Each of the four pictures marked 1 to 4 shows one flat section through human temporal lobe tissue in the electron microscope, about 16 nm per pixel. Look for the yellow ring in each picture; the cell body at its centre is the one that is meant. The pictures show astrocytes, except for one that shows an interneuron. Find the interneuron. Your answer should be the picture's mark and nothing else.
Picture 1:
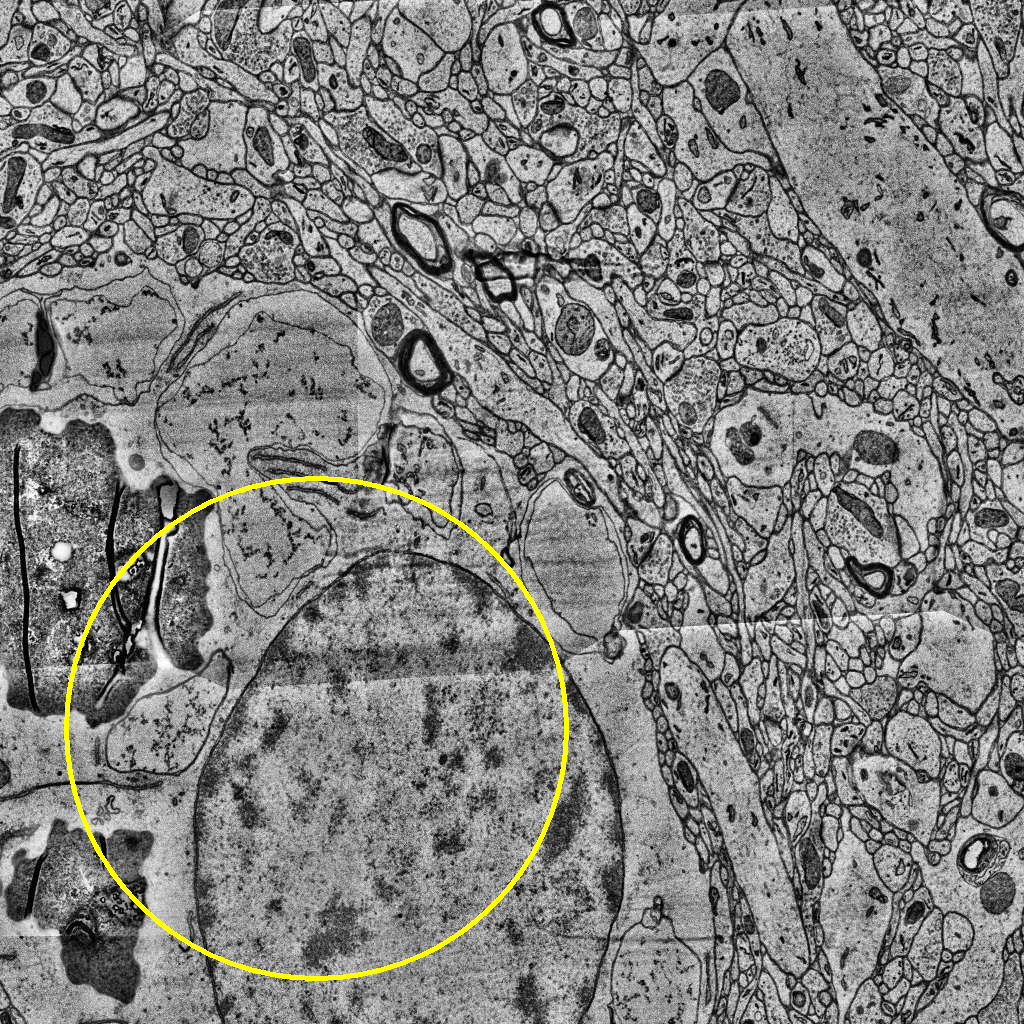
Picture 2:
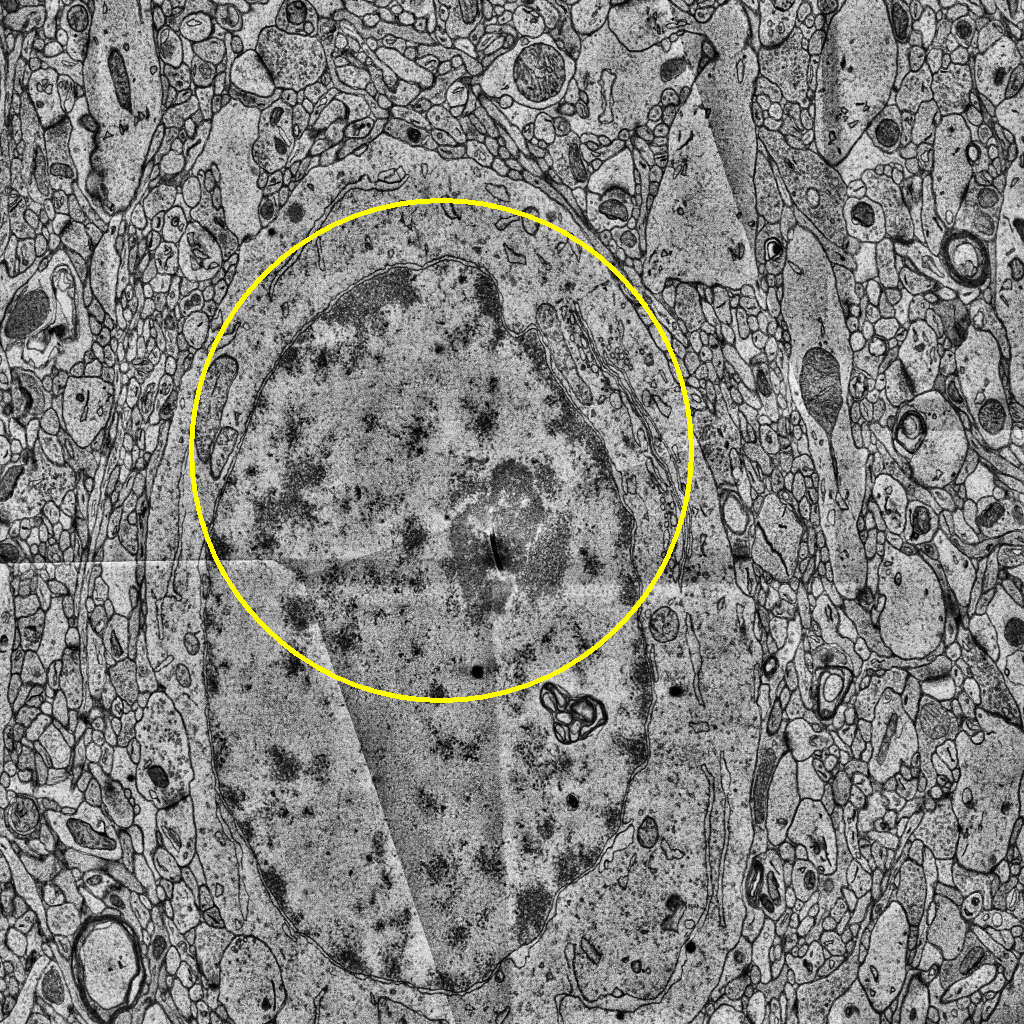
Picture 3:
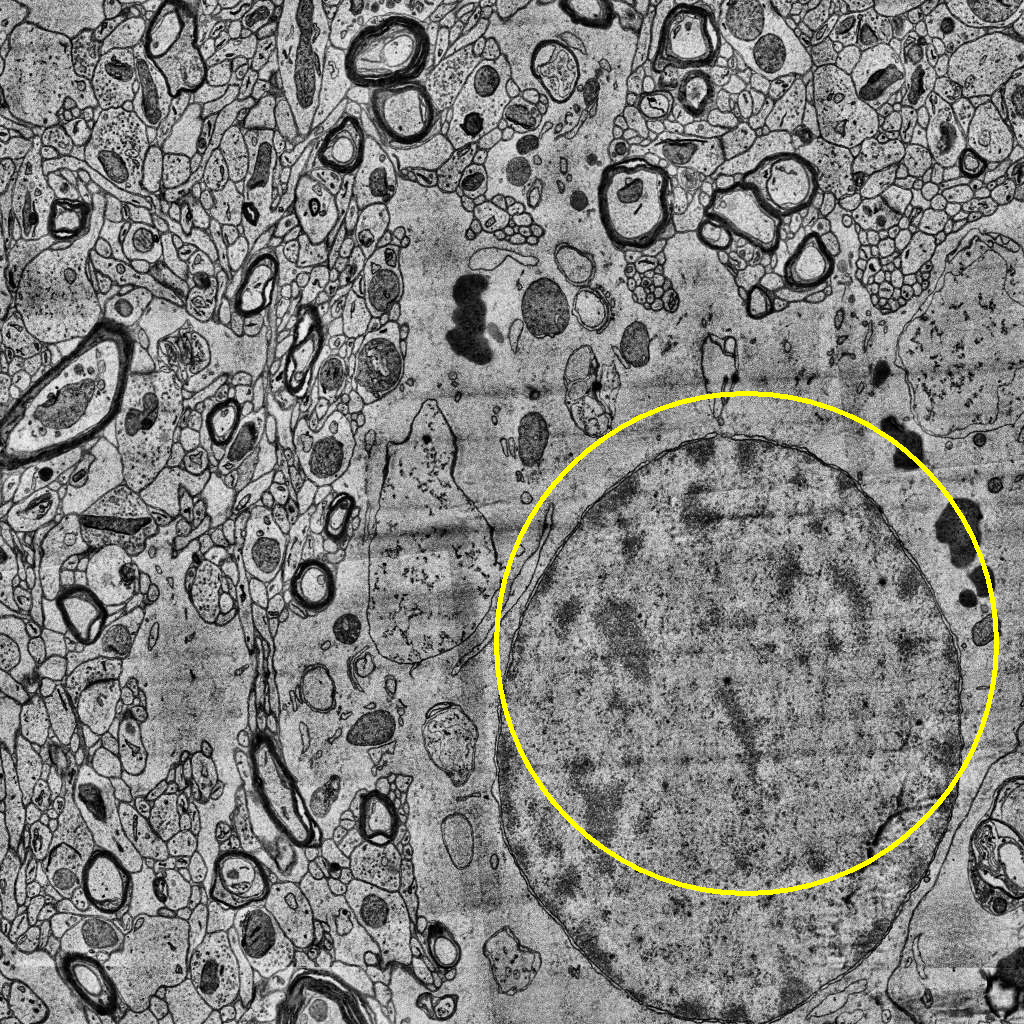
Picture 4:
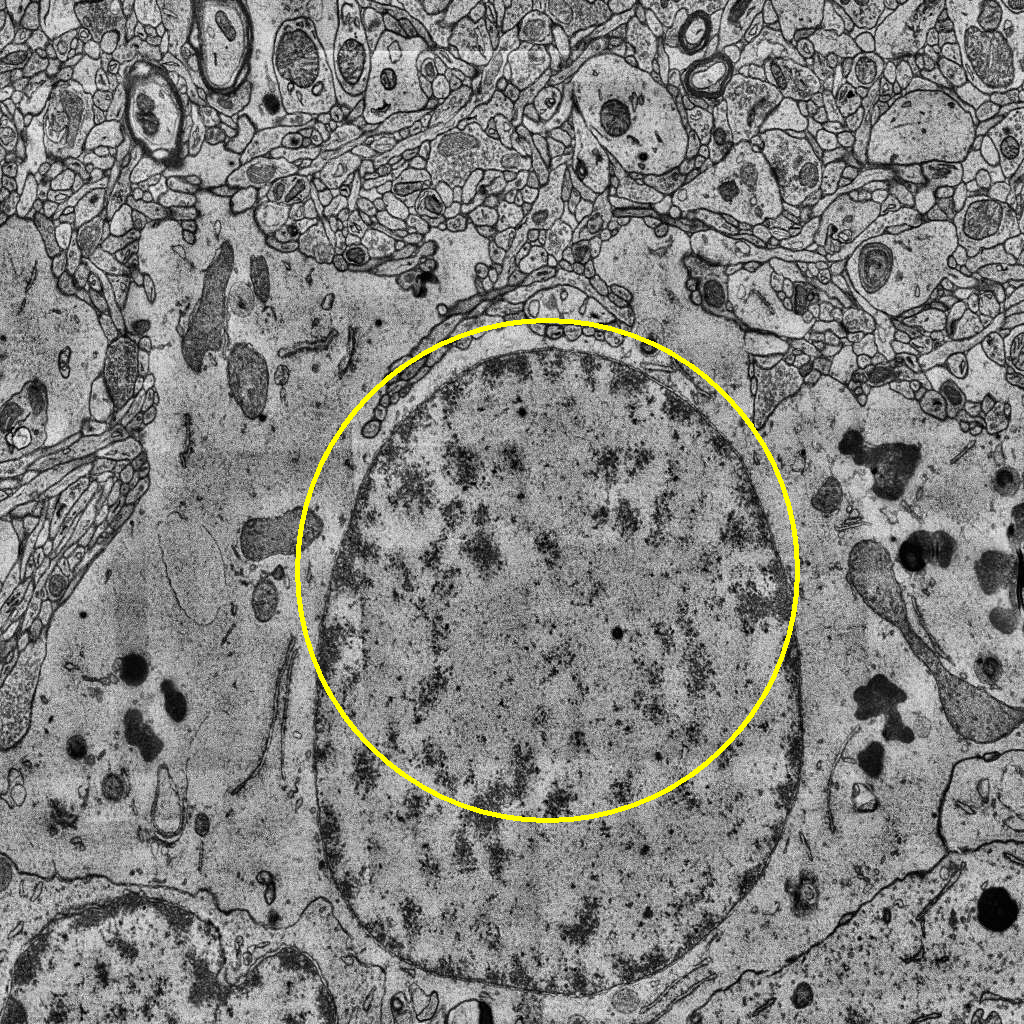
2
